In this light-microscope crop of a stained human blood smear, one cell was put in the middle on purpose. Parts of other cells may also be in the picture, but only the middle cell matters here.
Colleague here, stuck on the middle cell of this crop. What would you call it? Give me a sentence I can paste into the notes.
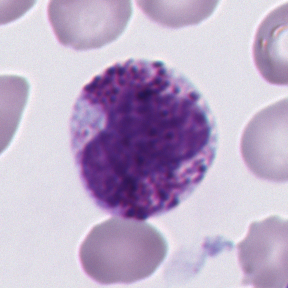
For this crop, the cell in the middle is a basophil.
